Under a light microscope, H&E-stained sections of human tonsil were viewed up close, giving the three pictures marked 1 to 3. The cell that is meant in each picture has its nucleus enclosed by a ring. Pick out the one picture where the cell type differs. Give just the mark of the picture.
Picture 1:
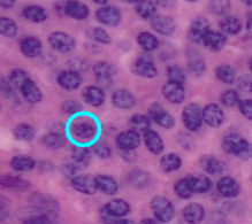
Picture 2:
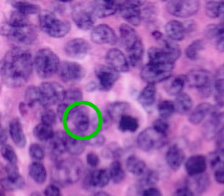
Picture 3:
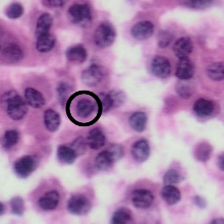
2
